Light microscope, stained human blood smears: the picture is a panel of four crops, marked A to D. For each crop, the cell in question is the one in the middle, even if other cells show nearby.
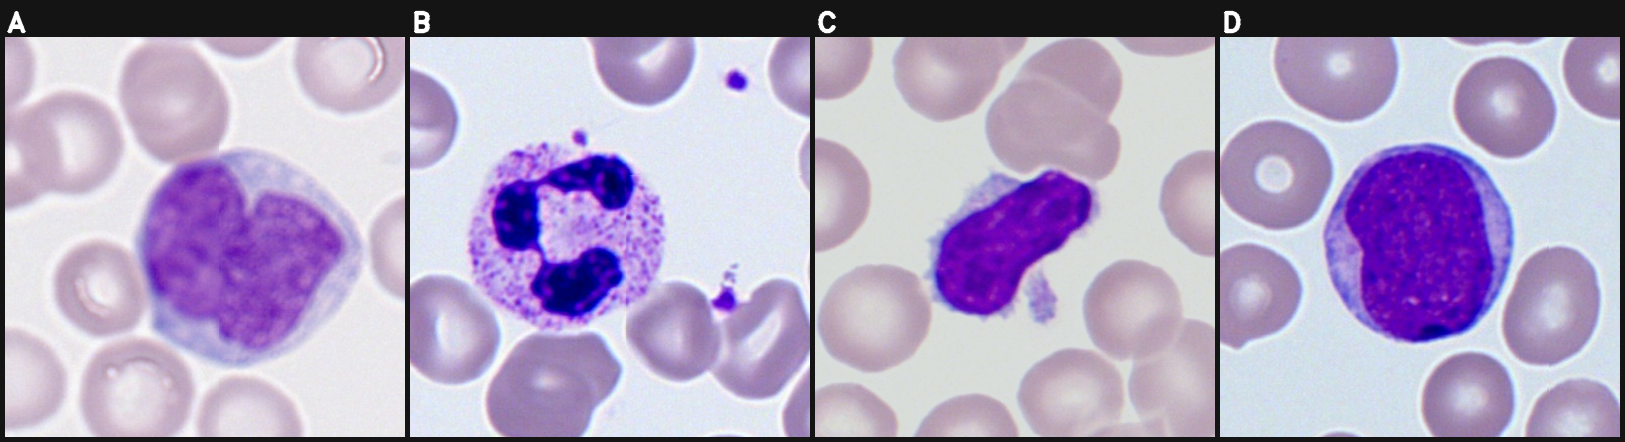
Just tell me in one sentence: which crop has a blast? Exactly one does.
The crop marked D is the one that shows a blast.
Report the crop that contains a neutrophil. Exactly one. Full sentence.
Crop B shows a neutrophil, and no other crop does.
